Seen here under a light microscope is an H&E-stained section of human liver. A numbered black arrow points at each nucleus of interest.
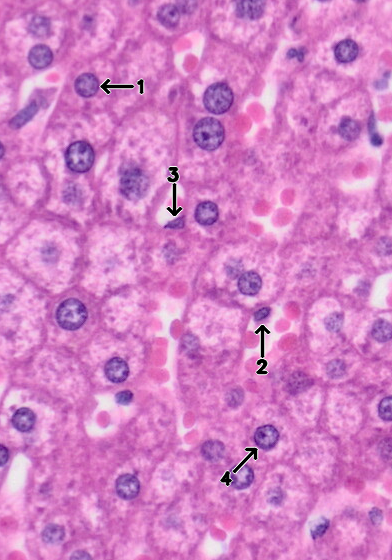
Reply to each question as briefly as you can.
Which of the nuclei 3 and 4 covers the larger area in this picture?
4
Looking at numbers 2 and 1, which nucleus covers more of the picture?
1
